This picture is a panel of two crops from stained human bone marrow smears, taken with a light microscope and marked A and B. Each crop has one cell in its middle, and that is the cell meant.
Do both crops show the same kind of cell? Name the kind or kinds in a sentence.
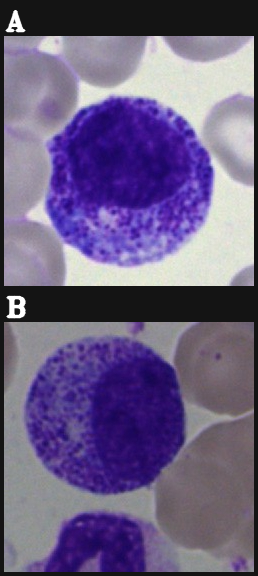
Yes, the cells that the two crops centre on are myelocytes.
